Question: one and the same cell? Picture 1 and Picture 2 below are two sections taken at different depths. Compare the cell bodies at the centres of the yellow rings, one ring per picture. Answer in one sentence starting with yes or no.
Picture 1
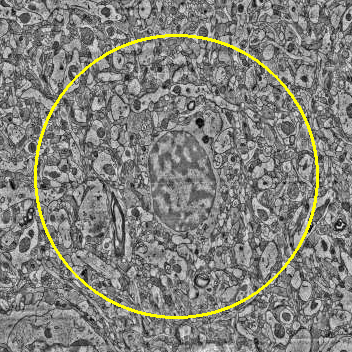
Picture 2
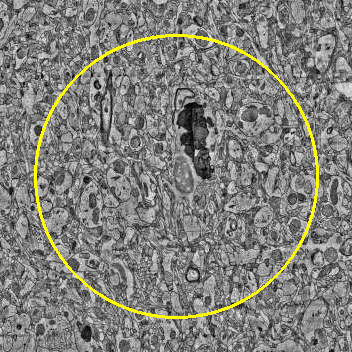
Yes, these two rings point to one cell rather than two.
